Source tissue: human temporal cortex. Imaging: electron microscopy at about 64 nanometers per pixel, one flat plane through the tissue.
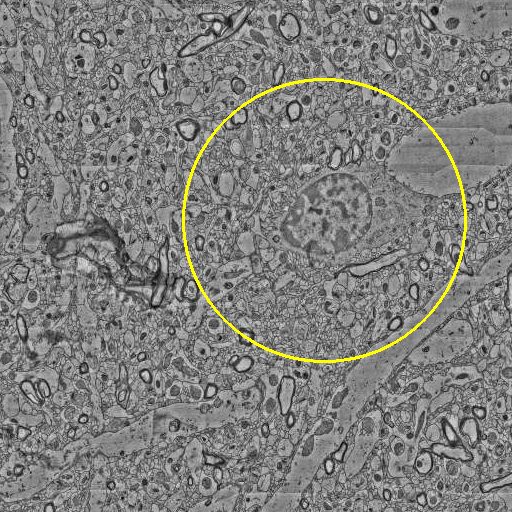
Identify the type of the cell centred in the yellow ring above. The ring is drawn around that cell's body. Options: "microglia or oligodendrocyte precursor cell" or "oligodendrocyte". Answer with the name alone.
oligodendrocyte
